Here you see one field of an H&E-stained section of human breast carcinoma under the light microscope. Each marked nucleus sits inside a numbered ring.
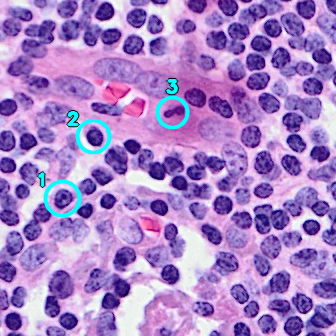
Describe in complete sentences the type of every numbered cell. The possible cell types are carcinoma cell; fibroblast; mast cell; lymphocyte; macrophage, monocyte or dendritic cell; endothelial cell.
Cell 1 is a lymphocyte, cell 2 is a lymphocyte and cell 3 is an endothelial cell.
